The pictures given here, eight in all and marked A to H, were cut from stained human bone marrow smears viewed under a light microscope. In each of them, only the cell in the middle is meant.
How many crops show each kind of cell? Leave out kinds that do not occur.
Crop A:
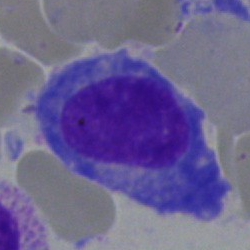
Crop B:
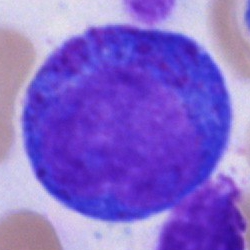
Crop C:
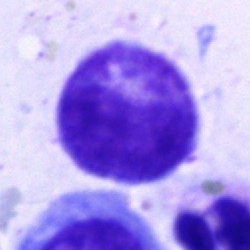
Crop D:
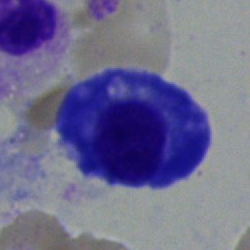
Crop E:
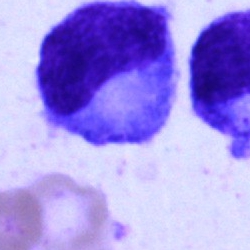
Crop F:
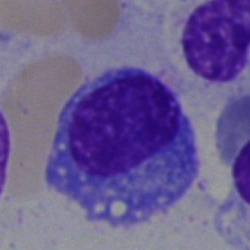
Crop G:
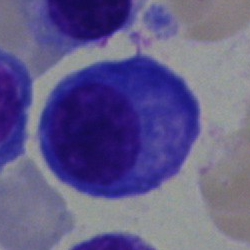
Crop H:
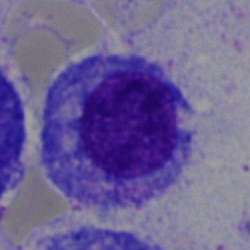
plasma cell: 4
promyelocyte: 4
